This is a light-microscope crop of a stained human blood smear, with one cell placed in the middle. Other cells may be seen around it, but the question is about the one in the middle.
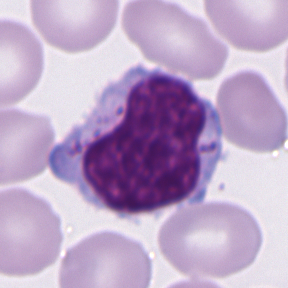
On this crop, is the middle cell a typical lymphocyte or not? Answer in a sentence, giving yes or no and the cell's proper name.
No, rather than a typical lymphocyte, the central cell is a large granular lymphocyte.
